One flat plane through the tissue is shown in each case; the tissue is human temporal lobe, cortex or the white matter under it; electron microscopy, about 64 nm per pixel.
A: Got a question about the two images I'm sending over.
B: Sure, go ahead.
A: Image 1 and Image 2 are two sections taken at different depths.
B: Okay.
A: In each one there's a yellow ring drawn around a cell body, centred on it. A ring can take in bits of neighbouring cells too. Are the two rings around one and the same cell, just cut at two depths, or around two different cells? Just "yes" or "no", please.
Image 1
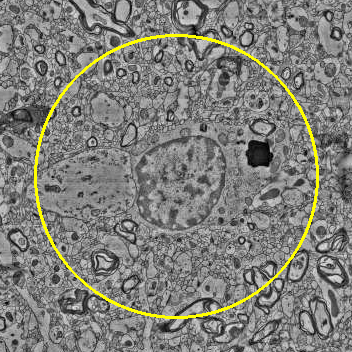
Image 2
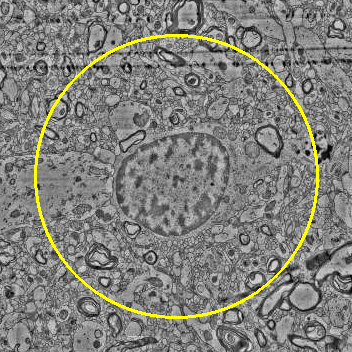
yes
